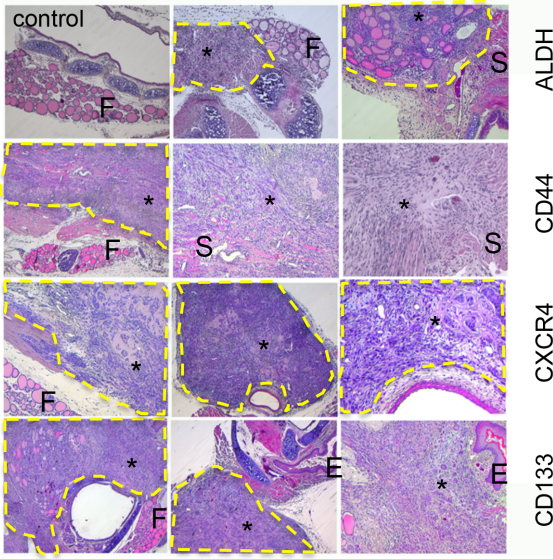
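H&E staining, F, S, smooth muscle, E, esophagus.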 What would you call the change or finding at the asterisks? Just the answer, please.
thyroid tumors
